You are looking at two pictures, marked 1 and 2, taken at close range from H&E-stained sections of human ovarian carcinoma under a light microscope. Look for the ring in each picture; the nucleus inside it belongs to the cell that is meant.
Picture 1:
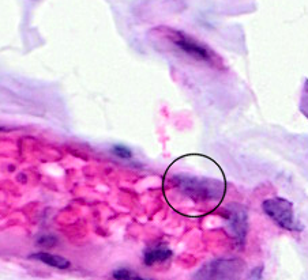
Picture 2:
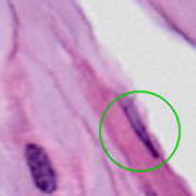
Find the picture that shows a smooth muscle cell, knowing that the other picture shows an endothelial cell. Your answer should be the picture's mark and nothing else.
2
